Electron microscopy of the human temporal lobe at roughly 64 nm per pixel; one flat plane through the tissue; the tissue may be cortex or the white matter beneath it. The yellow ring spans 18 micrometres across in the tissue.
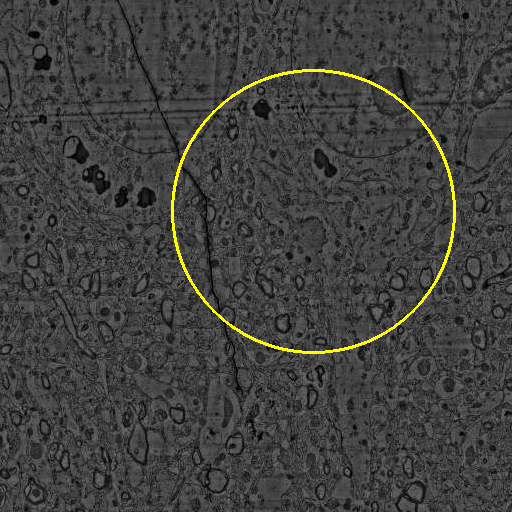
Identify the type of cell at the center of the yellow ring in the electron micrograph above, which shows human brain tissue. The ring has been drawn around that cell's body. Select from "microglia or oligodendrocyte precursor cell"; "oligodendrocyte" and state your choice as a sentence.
The yellow ring is centered on the body of an oligodendrocyte.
